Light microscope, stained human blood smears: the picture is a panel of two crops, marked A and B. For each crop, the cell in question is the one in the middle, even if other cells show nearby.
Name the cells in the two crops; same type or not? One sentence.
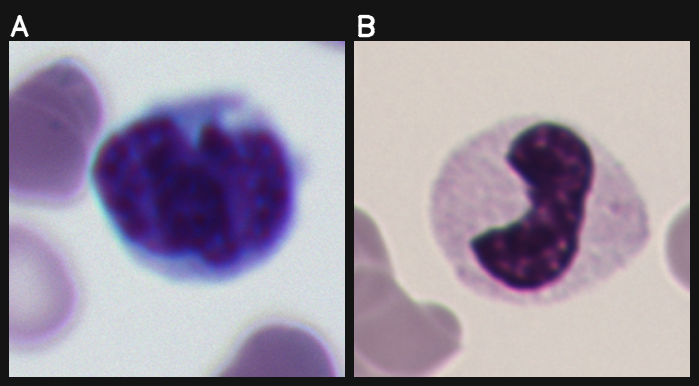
No, cell A is a monocyte, and cell B is a band neutrophil.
